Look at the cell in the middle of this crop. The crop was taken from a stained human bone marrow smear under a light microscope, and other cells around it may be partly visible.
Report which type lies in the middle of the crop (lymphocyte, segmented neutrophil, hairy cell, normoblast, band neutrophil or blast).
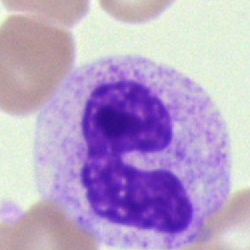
segmented neutrophil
